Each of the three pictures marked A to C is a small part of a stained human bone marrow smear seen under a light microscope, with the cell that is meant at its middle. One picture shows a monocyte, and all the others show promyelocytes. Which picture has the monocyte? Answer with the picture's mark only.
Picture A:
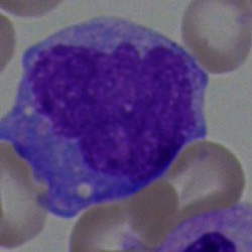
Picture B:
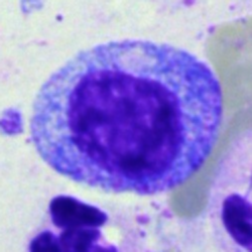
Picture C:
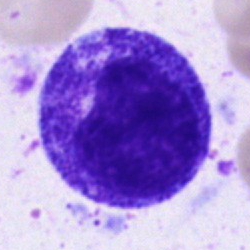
A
